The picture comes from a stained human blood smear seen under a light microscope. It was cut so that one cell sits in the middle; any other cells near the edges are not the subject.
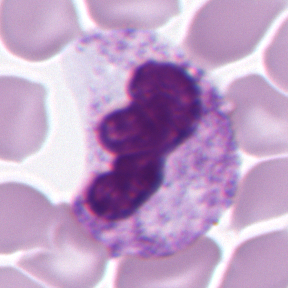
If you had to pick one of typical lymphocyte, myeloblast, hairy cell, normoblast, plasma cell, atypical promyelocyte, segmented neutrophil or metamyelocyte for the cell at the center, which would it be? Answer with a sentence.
The cell marked by its central position in the crop is a segmented neutrophil.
